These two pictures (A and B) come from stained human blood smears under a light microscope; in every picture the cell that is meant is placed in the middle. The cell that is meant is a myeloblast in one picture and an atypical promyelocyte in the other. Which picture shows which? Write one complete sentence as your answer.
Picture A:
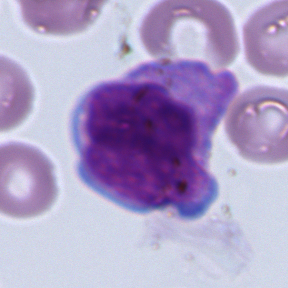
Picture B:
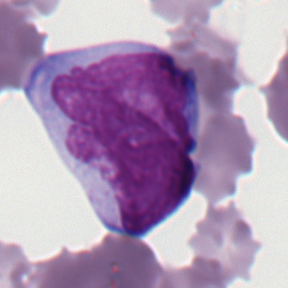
Picture A is of an atypical promyelocyte, and picture B is of a myeloblast.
